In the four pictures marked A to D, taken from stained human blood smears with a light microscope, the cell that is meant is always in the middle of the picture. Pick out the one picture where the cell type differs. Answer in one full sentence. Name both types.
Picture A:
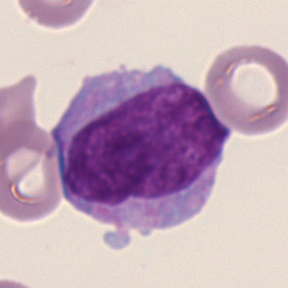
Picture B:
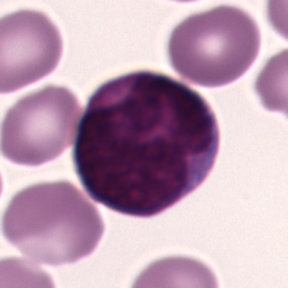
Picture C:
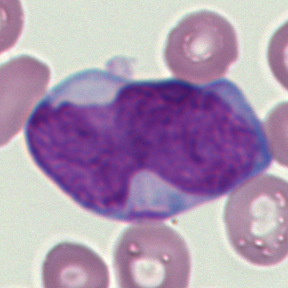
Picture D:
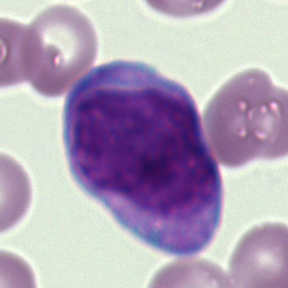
Unlike the rest, which show atypical promyelocytes, picture B shows a myeloblast.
